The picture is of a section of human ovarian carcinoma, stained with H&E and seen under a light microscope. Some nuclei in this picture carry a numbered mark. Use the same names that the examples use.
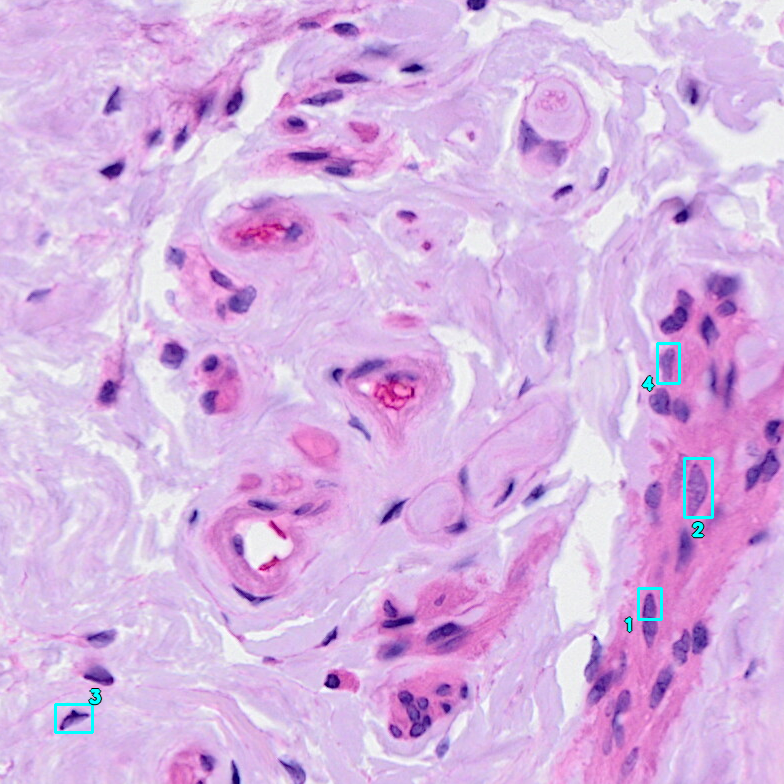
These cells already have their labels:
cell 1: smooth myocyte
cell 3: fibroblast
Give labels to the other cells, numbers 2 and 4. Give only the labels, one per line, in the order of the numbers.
smooth myocyte
smooth myocyte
